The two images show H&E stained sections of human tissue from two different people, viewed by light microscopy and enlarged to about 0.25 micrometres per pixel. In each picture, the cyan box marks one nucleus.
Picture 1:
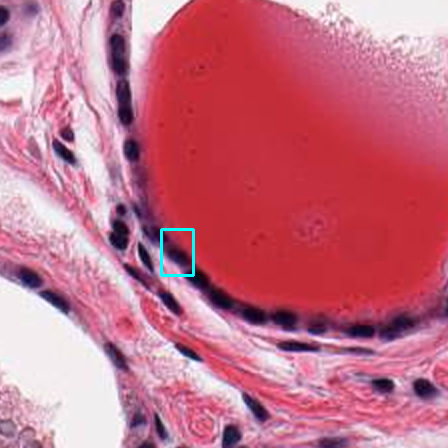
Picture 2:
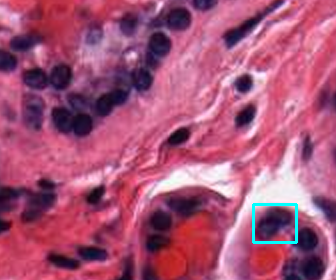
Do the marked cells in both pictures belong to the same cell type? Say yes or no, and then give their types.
Yes, both are thyroid follicular cells.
